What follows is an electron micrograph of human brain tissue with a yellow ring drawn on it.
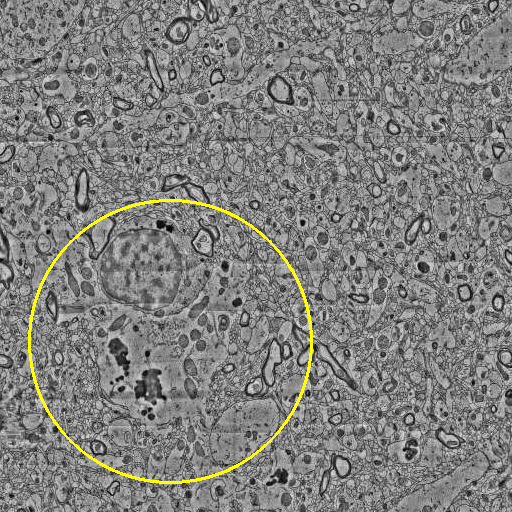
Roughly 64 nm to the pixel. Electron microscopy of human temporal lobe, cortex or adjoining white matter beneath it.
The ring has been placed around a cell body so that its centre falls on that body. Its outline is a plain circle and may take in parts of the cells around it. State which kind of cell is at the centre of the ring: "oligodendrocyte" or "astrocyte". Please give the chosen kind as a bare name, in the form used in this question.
astrocyte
